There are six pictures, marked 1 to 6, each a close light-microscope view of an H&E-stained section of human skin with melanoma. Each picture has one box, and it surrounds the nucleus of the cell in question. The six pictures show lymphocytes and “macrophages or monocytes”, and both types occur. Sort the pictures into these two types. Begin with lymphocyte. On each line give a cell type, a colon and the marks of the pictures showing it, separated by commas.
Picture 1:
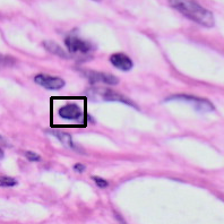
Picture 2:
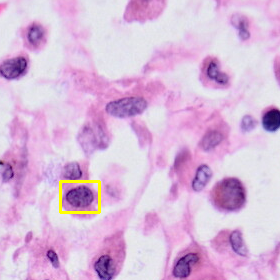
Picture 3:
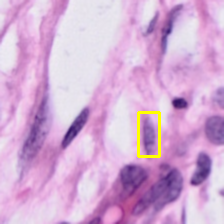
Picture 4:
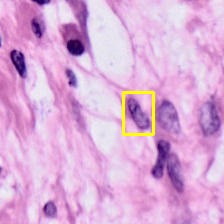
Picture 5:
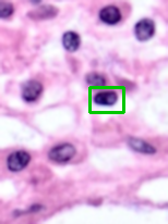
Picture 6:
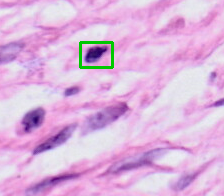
lymphocyte: 1, 5, 6
macrophage or monocyte: 2, 3, 4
